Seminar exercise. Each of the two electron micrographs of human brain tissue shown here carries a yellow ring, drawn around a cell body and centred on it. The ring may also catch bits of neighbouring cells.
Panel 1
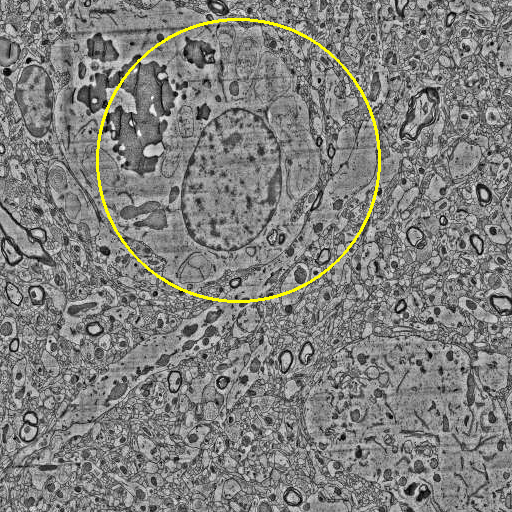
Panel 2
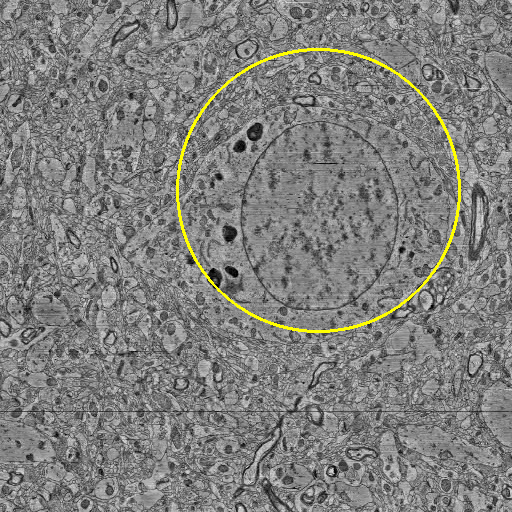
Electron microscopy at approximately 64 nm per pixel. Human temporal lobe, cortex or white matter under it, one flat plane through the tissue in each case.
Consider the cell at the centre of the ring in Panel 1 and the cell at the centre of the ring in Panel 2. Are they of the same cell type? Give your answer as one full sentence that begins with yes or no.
No, the two cells are of two types.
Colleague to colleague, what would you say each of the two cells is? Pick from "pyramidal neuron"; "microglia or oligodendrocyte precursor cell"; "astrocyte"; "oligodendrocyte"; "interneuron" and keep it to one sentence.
The cell in the first picture is an astrocyte; the second picture's cell is a pyramidal neuron.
